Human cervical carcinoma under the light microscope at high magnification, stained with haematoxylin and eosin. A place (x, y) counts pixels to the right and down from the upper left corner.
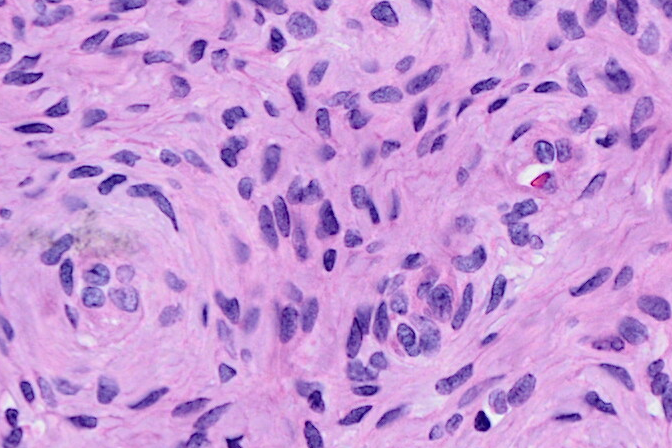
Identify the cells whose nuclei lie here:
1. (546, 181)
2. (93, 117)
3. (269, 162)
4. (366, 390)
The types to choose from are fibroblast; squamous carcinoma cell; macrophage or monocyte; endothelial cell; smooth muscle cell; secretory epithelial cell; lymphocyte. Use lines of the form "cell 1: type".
cell 1: endothelial cell
cell 2: fibroblast
cell 3: fibroblast
cell 4: fibroblast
